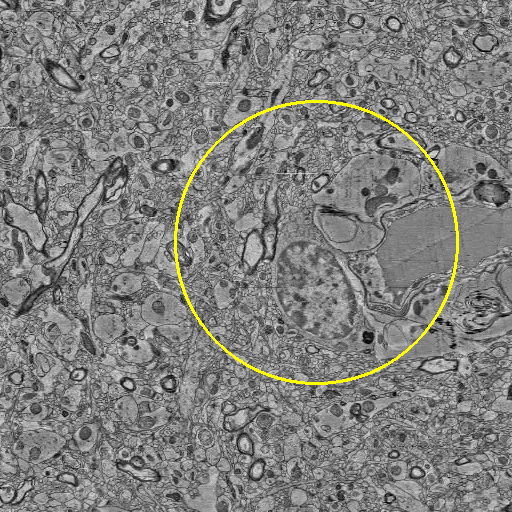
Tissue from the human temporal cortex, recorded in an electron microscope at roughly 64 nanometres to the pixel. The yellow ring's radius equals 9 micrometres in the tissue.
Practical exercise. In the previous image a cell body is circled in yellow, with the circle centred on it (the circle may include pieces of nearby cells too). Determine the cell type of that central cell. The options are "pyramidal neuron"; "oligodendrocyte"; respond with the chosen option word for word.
oligodendrocyte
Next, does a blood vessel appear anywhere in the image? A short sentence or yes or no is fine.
Yes, a vessel shows somewhere in the image.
